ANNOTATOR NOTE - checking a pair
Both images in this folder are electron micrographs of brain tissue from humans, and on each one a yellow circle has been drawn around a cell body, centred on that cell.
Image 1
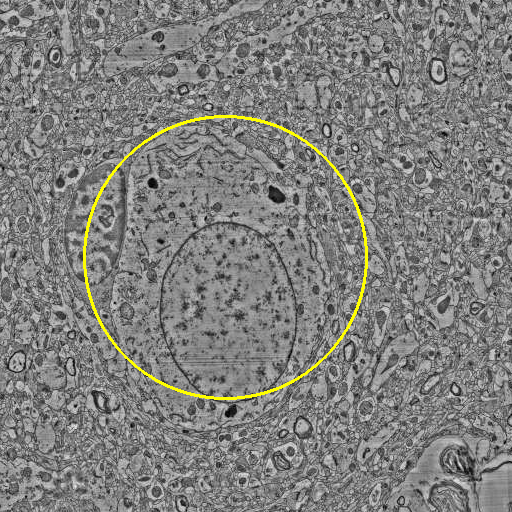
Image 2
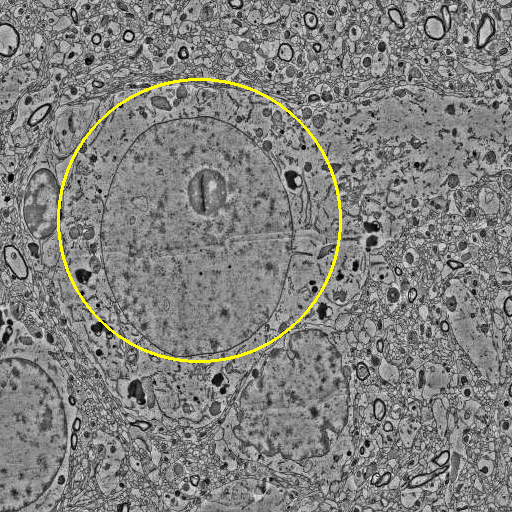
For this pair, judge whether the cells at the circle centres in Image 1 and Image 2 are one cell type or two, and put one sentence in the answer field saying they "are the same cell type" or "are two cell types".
For this pair, the cells at the circle centres in Images 1 and 2 are the same cell type.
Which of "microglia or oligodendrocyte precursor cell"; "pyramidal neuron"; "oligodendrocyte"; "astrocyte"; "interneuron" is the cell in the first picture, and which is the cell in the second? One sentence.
Each of the two rings surrounds a pyramidal neuron.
